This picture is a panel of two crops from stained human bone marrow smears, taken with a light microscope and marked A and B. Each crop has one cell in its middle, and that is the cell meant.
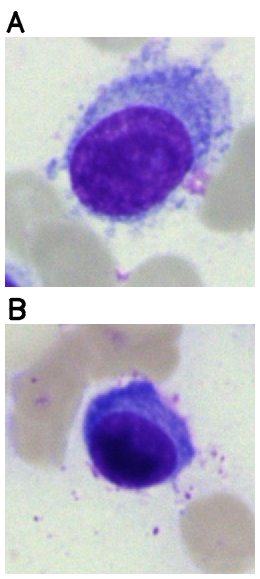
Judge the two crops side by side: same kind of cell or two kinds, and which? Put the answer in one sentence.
No, a hairy cell is what crop A shows, and a plasma cell is what crop B shows.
